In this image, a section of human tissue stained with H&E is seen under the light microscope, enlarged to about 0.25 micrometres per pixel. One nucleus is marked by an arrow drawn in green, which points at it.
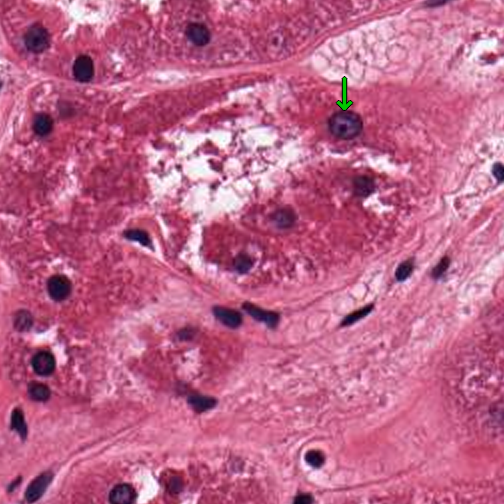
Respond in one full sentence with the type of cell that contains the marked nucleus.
The nucleus that the mark indicates belongs to a proximal tubule cell.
